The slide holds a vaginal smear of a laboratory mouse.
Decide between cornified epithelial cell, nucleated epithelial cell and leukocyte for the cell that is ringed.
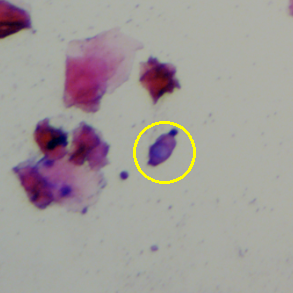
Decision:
I take the ringed cell for a nucleated epithelial cell.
